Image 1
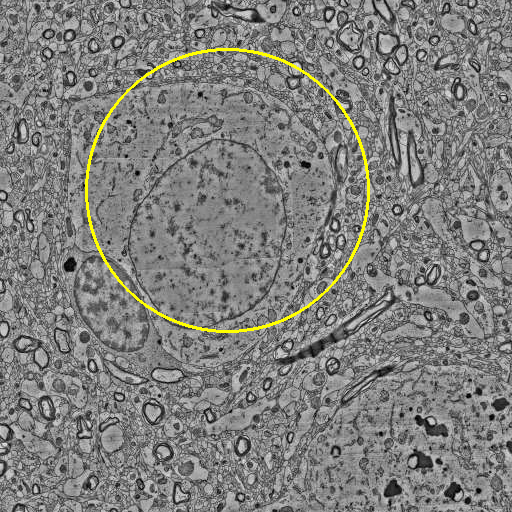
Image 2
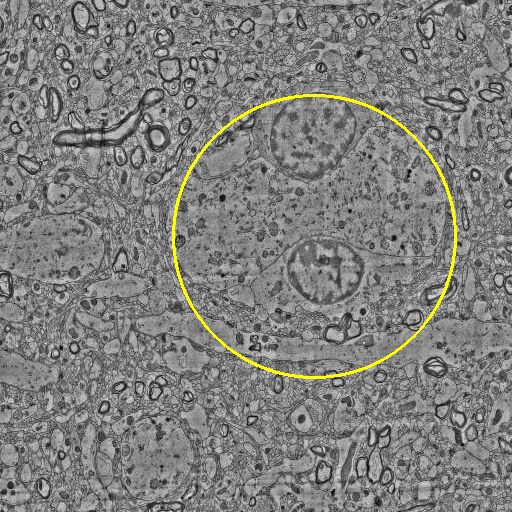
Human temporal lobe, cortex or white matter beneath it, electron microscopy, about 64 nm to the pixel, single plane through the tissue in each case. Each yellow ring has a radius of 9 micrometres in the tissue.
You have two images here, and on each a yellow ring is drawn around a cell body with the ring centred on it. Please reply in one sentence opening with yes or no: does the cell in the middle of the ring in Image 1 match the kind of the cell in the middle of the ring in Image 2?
No, the two images show cells of two kinds at the centres of their rings.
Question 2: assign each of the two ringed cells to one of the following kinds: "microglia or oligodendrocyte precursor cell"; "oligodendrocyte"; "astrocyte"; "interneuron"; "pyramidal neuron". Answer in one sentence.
The two cells are a pyramidal neuron in the first picture and a microglial cell or oligodendrocyte precursor cell in the second.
